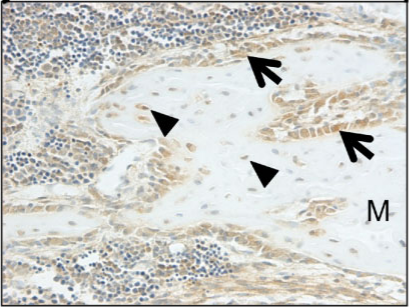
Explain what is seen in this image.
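Along the surfaces of the matrix lie rows of plump osteoblasts whose cytoplasm is stained brown. Osteocytes sit singly within the matrix, enclosed in small spaces, some with brownish staining. The marrow cells around the trabeculae have small round blue nuclei, many with a brown tinge.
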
